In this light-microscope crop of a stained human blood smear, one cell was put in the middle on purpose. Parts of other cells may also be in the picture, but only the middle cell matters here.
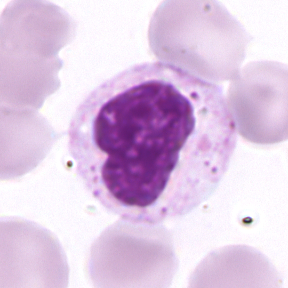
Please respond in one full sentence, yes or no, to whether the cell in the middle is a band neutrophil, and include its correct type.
Yes, the identification of the central cell as a band neutrophil is correct.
